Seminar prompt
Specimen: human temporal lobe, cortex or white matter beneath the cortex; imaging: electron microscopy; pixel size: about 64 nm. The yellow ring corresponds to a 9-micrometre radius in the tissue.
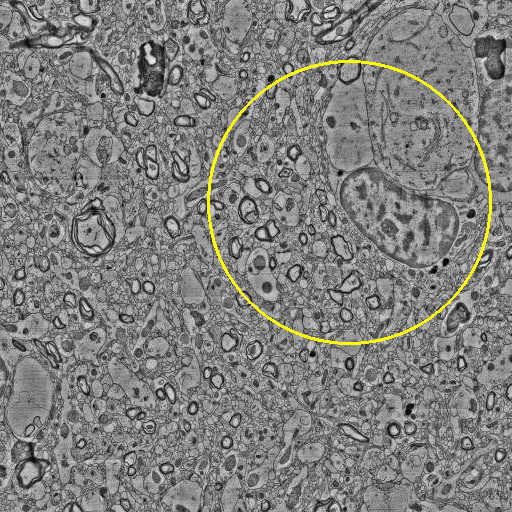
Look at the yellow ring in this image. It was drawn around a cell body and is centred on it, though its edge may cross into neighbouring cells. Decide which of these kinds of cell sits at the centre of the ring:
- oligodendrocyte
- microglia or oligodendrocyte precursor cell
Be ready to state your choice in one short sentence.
The kind of cell at the ring's centre is a microglial cell or oligodendrocyte precursor cell.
